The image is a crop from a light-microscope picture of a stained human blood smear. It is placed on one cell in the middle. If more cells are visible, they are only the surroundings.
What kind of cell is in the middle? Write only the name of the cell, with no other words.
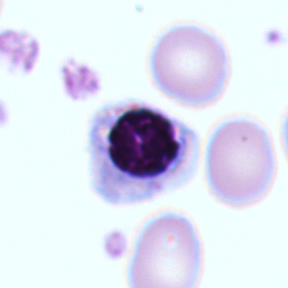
normoblast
